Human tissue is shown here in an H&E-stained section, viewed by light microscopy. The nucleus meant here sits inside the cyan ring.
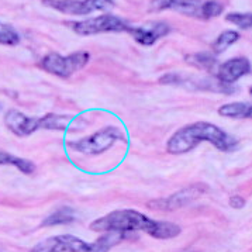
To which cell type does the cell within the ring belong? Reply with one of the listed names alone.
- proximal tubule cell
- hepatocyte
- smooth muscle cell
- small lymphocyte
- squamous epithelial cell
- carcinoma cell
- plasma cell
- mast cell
smooth muscle cell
